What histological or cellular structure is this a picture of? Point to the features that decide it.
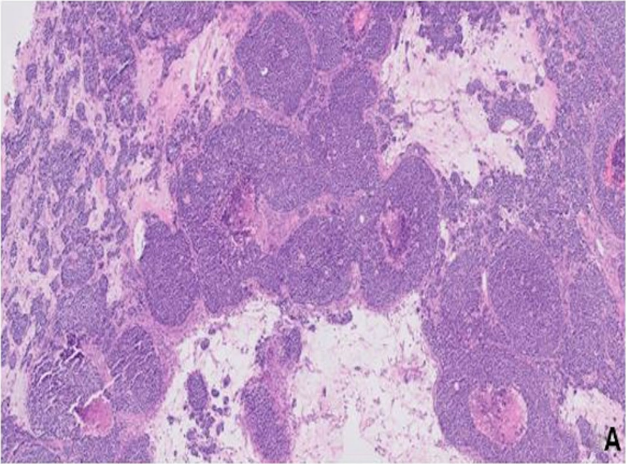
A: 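Dense blue cellular aggregates of different sizes. Nests are separated by pale, loose stroma.
Answer: Variably sized solid nests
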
